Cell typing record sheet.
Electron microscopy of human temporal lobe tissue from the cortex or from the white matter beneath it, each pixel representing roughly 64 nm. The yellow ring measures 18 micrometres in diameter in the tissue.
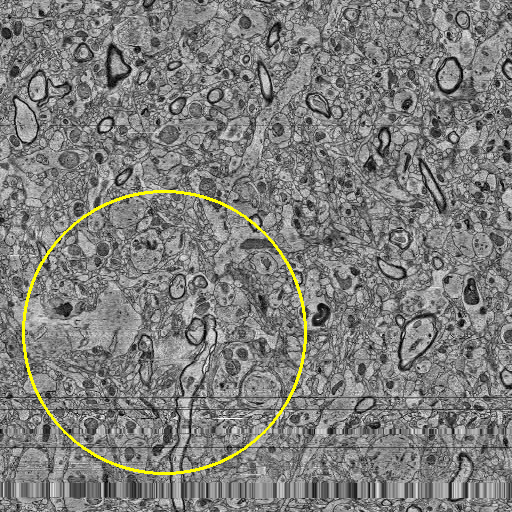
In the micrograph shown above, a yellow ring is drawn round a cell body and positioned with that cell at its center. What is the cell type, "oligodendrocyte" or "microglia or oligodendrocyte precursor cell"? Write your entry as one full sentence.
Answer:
The cell body at the center of the ring belongs to an oligodendrocyte.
